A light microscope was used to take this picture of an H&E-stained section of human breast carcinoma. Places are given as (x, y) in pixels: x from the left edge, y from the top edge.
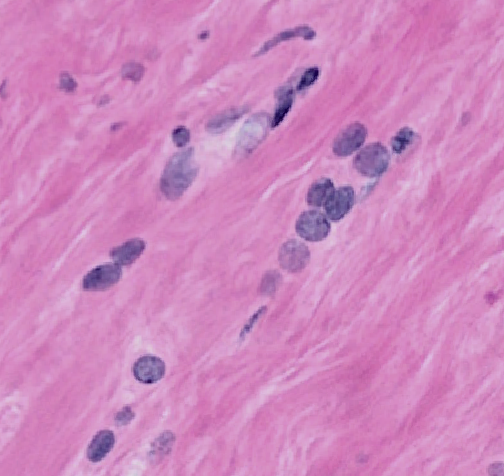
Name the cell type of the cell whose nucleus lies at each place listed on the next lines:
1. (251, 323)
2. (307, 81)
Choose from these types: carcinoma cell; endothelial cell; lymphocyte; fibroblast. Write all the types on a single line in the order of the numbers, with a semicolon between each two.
fibroblast; lymphocyte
